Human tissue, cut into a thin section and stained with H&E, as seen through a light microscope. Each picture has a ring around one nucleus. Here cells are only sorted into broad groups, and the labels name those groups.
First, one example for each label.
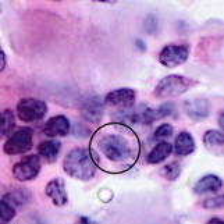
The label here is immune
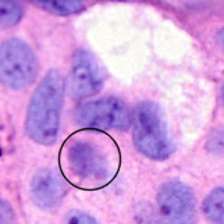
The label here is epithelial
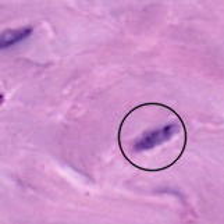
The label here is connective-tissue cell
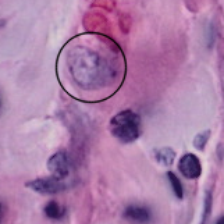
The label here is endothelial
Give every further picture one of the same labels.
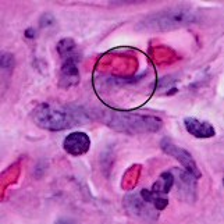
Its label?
endothelial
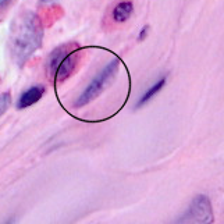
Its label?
connective-tissue cell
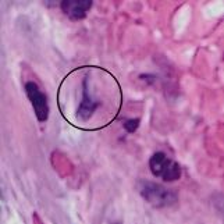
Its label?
connective-tissue cell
